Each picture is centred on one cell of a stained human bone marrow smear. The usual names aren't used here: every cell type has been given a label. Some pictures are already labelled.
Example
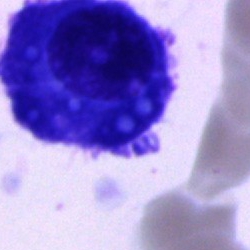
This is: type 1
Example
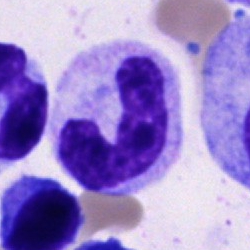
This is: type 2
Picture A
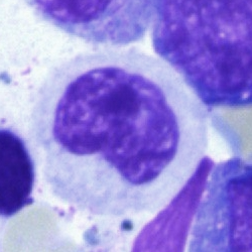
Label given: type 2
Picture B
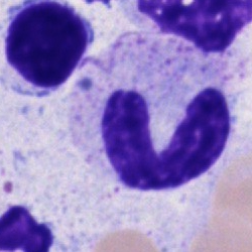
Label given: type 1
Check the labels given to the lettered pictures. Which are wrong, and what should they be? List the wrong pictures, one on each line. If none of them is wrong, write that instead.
B: type 2, not type 1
